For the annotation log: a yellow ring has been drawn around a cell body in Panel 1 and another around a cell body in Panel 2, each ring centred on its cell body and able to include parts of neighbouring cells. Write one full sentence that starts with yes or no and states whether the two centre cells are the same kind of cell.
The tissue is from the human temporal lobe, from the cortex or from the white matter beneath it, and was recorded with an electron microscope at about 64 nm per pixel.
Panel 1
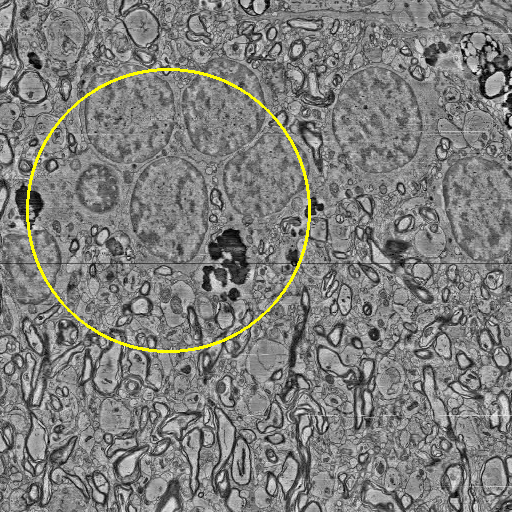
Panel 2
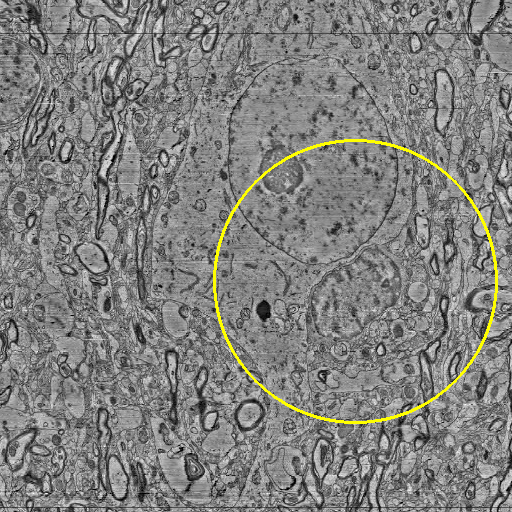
Yes, the two centre cells are the same kind of cell.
